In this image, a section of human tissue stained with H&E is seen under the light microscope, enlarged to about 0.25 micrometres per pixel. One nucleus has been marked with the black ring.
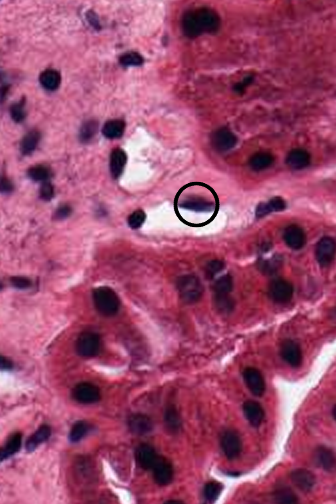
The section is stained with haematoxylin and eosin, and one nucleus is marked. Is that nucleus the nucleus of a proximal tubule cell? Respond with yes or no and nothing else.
no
